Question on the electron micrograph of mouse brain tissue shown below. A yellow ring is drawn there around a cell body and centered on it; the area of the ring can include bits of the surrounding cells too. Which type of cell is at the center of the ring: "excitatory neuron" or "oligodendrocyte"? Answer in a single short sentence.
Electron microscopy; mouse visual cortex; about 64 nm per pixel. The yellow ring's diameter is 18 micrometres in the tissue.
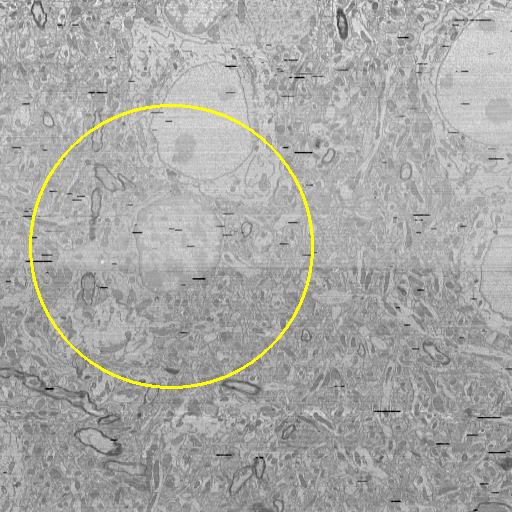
The ring is centered on an oligodendrocyte.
